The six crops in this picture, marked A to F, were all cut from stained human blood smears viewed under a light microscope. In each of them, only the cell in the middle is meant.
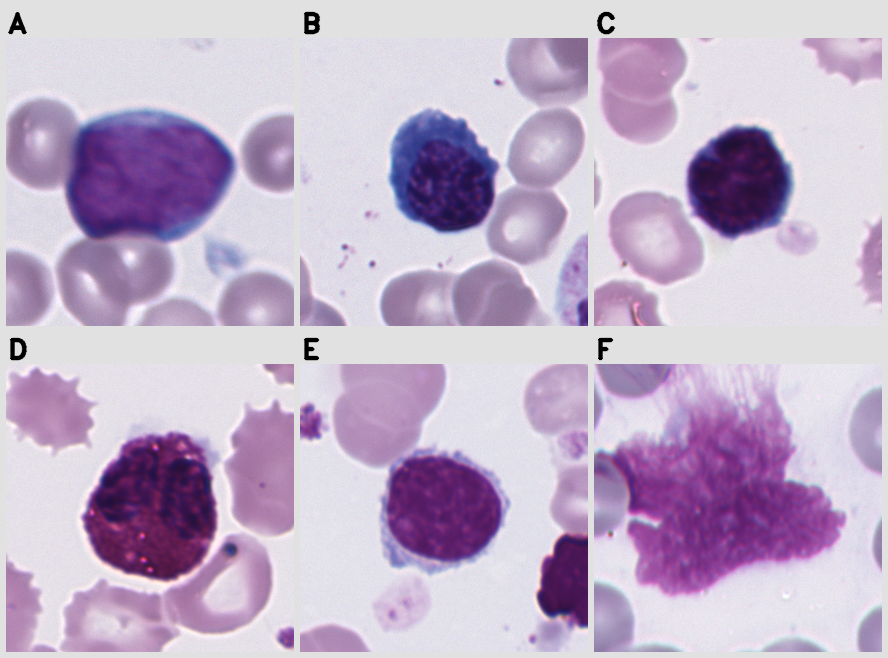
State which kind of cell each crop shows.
A: myeloblast
B: normoblast
C: typical lymphocyte
D: eosinophil
E: typical lymphocyte
F: smudge cell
